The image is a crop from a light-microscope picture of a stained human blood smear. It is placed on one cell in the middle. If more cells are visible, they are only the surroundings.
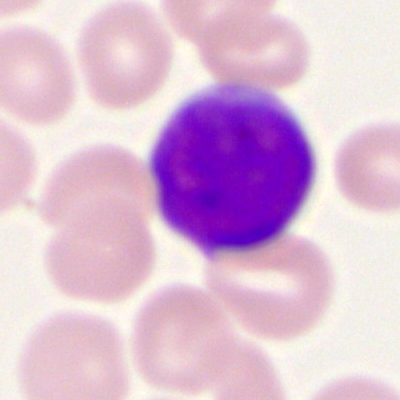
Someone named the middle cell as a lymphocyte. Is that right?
no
